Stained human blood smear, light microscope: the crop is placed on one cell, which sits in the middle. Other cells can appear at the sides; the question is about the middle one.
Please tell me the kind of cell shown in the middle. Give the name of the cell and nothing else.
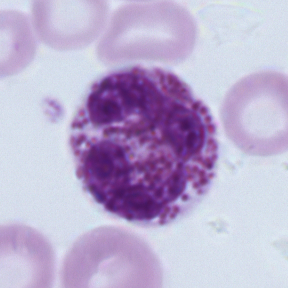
eosinophil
